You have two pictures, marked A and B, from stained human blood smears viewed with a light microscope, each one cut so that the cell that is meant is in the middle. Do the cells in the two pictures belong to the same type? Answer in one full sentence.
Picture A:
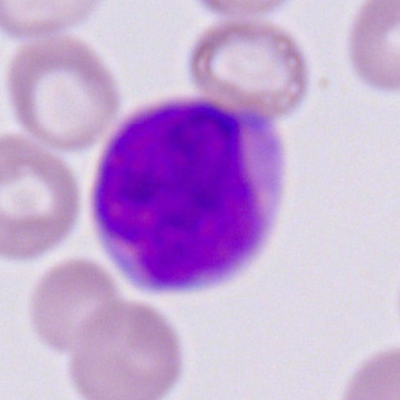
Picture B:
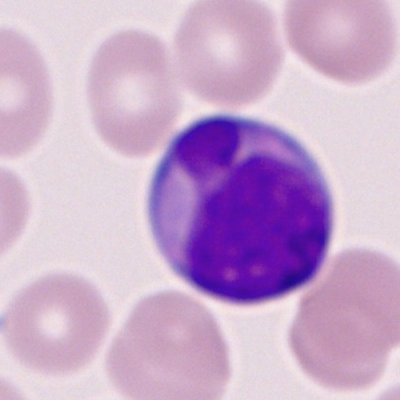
Yes, they are the same type: both are myeloblasts.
